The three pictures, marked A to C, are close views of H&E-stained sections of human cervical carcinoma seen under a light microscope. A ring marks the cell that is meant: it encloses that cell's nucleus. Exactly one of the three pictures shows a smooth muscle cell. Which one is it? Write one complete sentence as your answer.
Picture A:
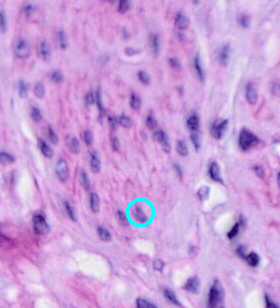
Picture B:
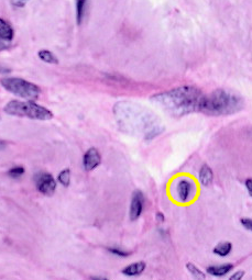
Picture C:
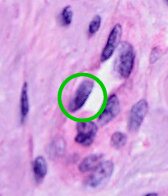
The smooth muscle cell is the one in picture A.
